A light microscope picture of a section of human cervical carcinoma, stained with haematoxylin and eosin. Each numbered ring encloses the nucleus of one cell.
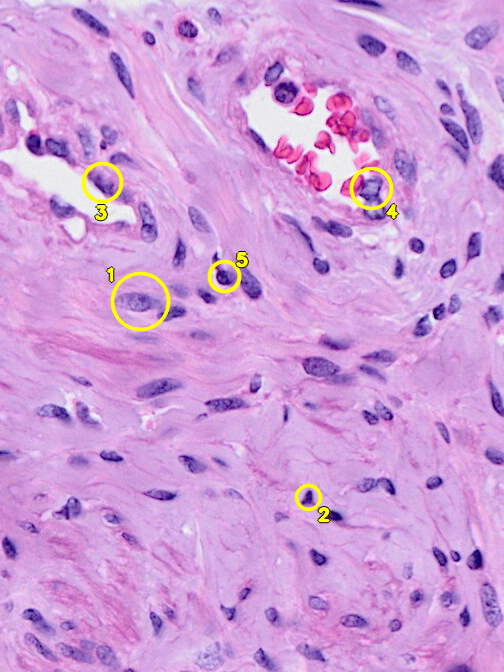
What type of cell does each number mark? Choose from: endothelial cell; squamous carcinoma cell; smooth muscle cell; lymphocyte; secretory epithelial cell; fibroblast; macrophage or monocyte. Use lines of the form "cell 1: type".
cell 1: fibroblast
cell 2: fibroblast
cell 3: endothelial cell
cell 4: endothelial cell
cell 5: lymphocyte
